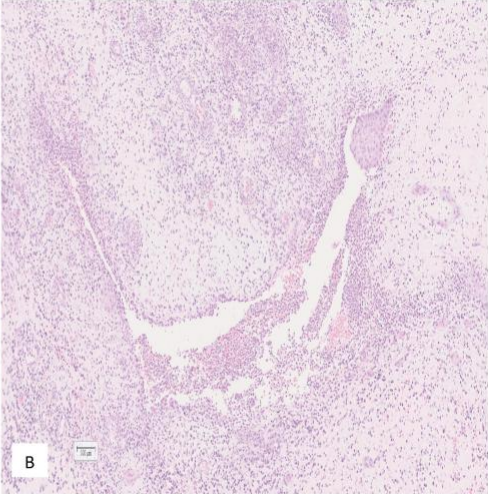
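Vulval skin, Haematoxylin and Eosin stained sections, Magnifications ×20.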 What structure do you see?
Sinus tract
